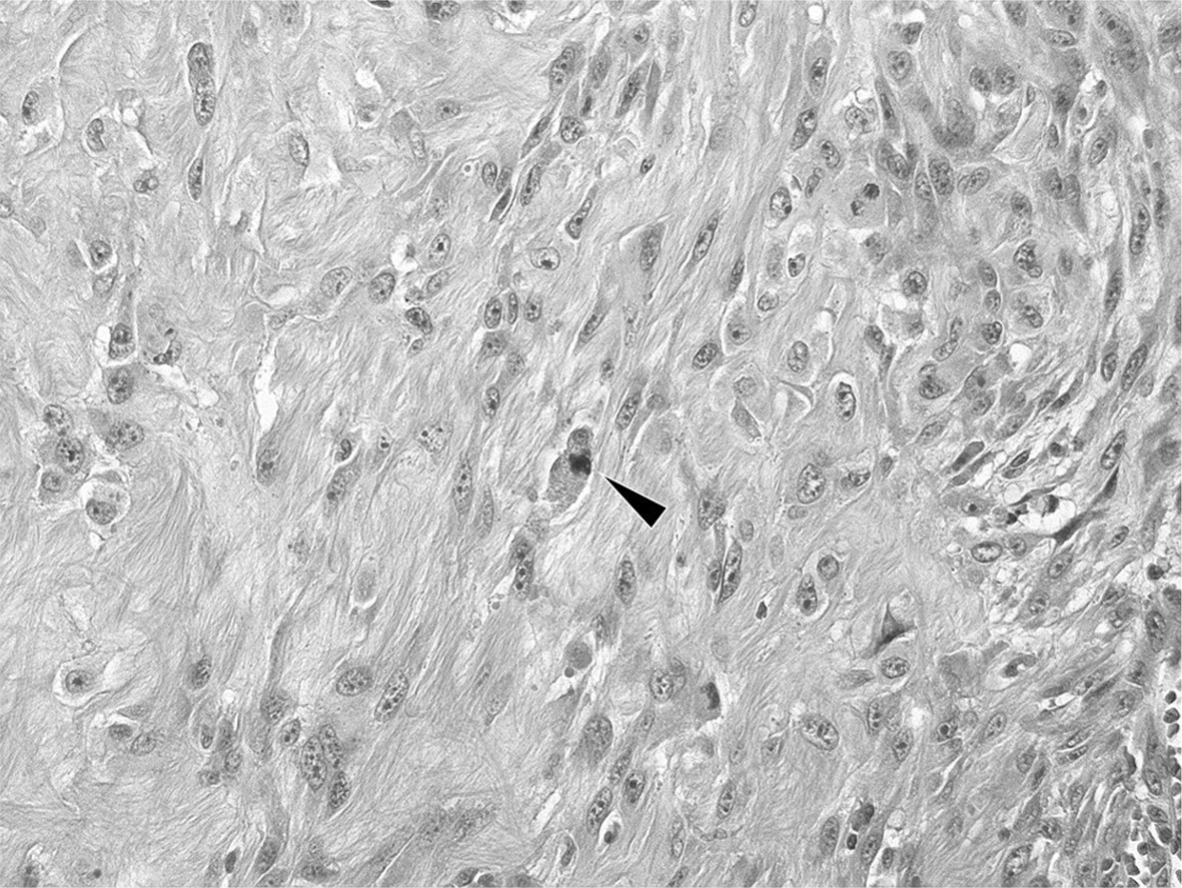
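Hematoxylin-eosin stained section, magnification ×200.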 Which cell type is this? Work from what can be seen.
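Most cells are elongated with oval to cigar-shaped nuclei. The cells lie in a fibrillar background, oriented in roughly parallel streams. On this evidence: spindle cells.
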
